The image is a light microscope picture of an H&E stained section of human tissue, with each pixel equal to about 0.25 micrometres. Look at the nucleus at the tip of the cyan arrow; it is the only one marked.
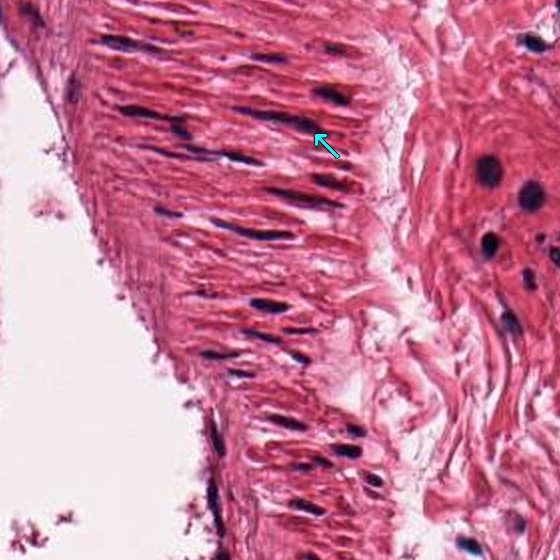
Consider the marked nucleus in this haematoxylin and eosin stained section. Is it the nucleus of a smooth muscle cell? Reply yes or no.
yes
